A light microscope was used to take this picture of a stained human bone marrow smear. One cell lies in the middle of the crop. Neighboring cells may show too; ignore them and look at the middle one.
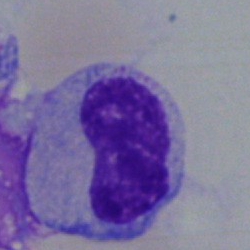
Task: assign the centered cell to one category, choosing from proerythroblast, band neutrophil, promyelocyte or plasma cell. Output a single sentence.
The centrally positioned cell in the crop represents a band neutrophil.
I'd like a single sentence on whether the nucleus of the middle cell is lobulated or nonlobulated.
Round, oval or kidney-shaped, the nucleus is one compact mass.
